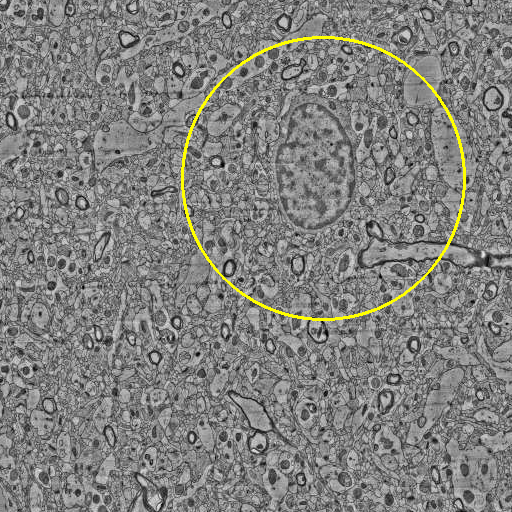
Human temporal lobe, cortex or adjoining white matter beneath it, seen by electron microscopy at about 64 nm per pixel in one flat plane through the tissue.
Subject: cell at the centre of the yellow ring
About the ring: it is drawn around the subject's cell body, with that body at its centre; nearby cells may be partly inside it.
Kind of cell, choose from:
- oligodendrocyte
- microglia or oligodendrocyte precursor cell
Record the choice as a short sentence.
The subject cell is an oligodendrocyte.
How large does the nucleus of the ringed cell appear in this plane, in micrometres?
About 8 by 5 micrometers; the nucleus is clearly longer than it is wide in this plane.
